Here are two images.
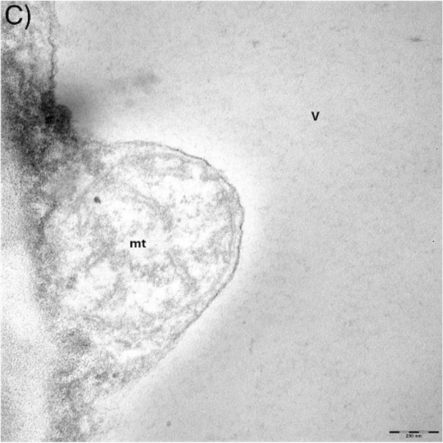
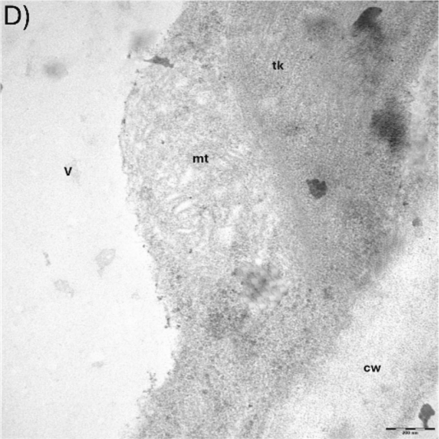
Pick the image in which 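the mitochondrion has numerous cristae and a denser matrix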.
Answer: the second image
